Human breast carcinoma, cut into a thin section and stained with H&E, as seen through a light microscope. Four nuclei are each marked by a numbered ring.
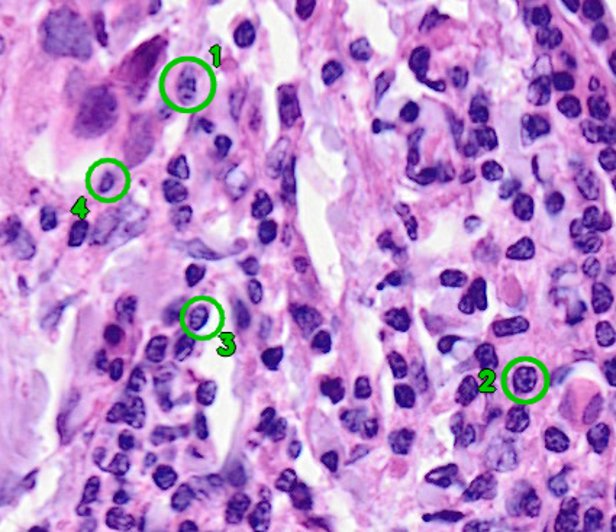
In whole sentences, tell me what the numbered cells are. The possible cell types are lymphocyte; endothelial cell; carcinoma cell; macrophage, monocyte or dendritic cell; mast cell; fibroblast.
Cell 1 is a mast cell, cell 2 is a lymphocyte, cell 3 is a lymphocyte and cell 4 is a lymphocyte.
